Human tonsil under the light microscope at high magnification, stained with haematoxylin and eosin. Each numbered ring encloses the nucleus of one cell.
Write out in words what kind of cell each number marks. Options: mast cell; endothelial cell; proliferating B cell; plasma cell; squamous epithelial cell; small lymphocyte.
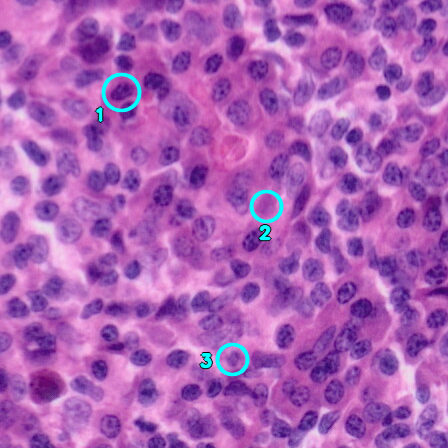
Cell 1 is a plasma cell. Cells 2 and 3 are squamous epithelial cells.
